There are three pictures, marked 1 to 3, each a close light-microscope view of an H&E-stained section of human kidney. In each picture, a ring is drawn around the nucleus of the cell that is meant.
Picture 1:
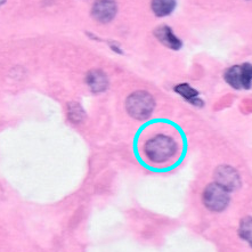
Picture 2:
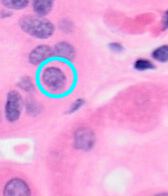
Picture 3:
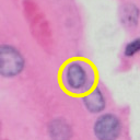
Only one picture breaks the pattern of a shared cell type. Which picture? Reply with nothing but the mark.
1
